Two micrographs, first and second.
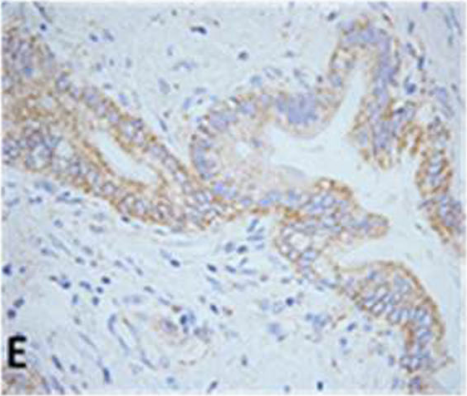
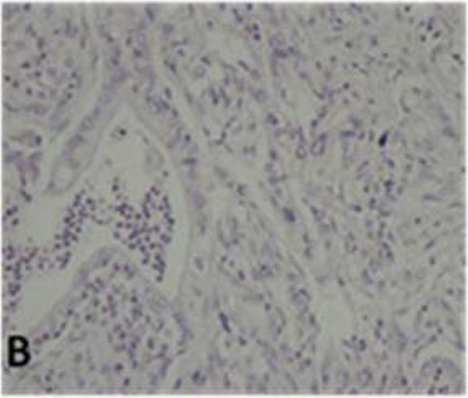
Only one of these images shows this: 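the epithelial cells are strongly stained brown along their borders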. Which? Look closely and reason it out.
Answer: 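The first image. First image: the epithelial cells lining the glands show distinct brown outlines and brownish cytoplasm. Second image: the tissue is almost entirely grey-blue with hardly any brown.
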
